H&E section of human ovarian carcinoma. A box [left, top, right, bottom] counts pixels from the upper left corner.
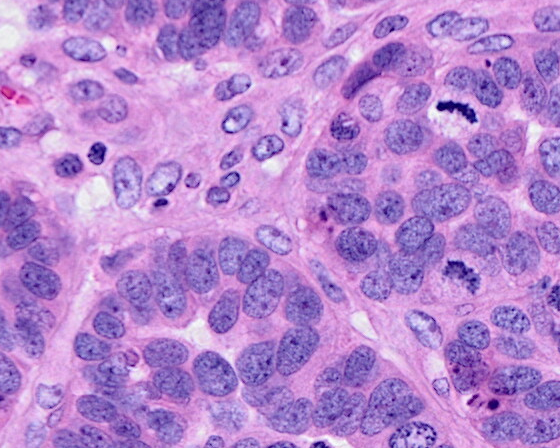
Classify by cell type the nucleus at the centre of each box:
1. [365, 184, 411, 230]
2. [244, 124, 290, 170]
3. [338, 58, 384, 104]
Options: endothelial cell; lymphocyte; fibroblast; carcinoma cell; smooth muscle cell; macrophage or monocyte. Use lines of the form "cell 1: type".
cell 1: carcinoma cell
cell 2: fibroblast
cell 3: carcinoma cell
